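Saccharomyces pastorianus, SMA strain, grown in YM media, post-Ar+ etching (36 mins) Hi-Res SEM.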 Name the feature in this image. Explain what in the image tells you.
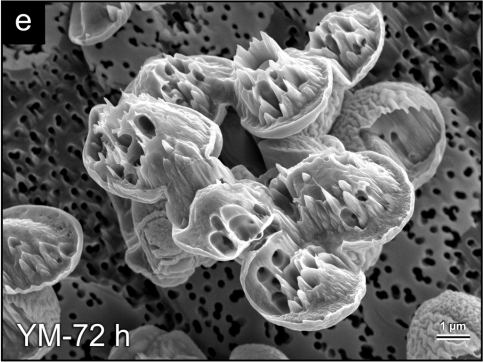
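The etched cell interiors are riddled with many rounded cavities. The cavities are separated by thin walls and spiky remnants, forming an interconnected meshwork inside each cell. So: network of bubbles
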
